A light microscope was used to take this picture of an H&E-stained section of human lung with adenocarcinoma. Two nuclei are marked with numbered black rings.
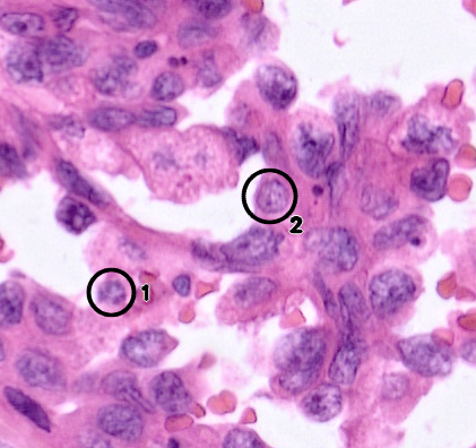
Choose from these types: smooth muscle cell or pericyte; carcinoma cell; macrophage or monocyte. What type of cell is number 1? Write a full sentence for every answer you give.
Numbered cell 1 is a macrophage or monocyte in this tissue section.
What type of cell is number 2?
The identity of cell 2 is that of a carcinoma cell.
